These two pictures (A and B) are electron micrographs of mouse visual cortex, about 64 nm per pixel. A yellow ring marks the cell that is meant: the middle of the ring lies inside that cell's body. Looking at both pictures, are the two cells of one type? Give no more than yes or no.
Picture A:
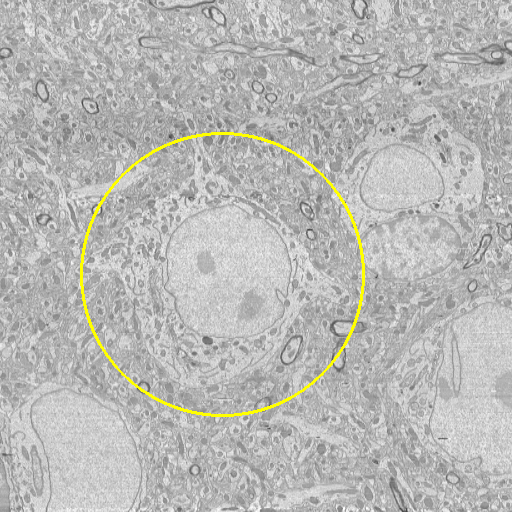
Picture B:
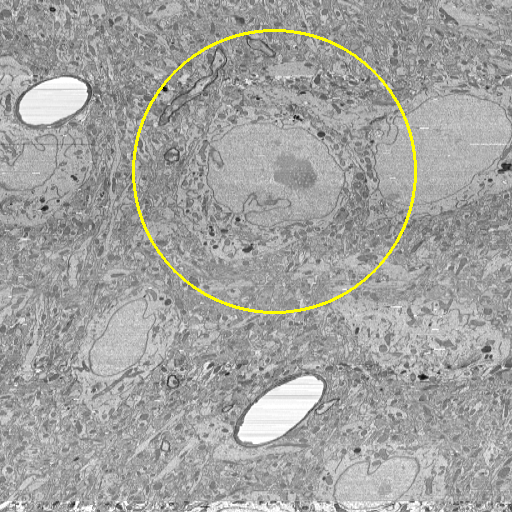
yes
